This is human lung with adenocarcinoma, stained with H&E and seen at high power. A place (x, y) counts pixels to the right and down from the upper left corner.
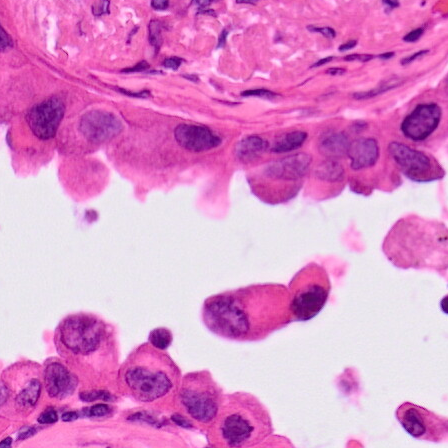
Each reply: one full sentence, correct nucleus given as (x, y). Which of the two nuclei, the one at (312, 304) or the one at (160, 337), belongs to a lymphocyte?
At (160, 337) lies the nucleus that belongs to a lymphocyte.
